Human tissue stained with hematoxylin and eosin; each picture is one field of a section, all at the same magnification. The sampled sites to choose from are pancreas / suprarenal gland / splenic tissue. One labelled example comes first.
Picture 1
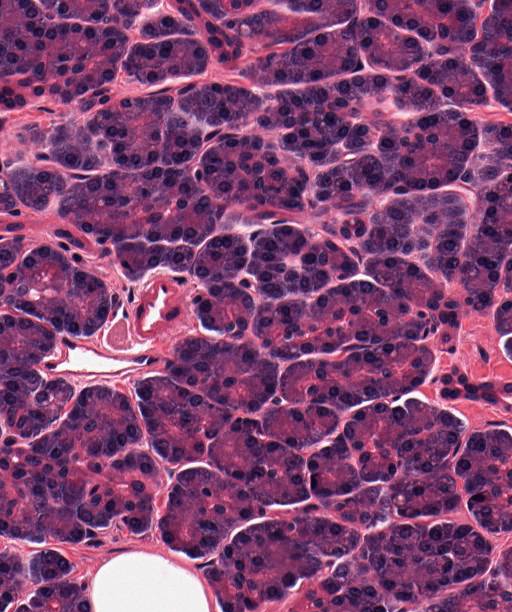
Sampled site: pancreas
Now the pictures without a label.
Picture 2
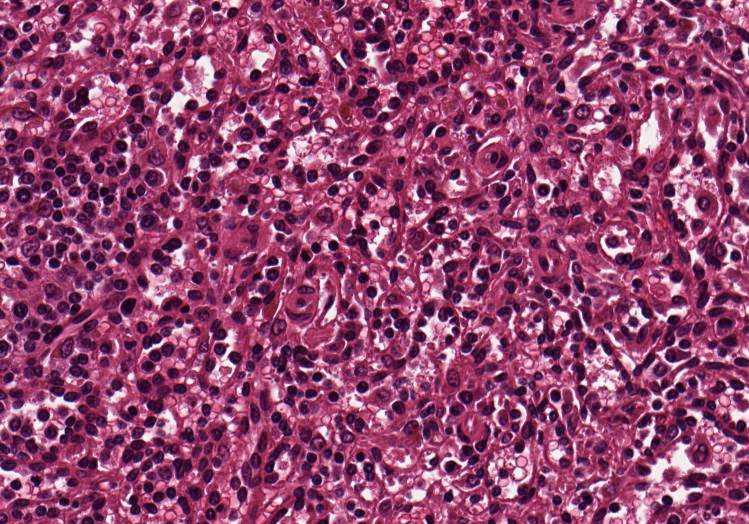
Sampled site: splenic tissue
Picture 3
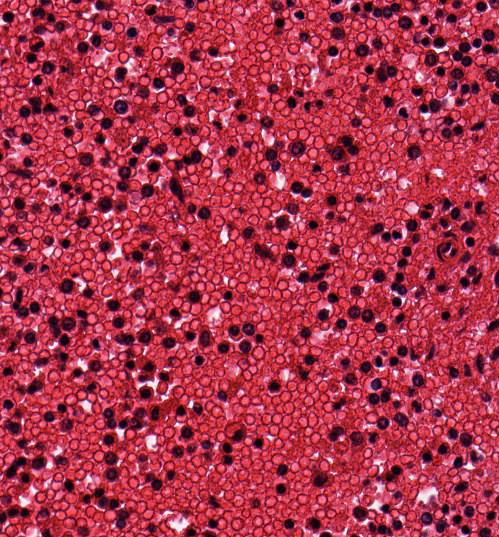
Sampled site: splenic tissue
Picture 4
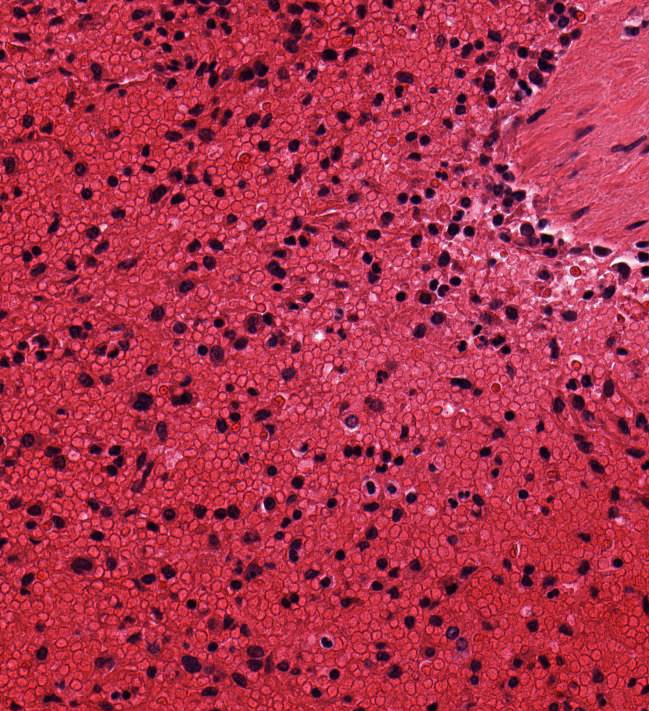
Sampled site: splenic tissue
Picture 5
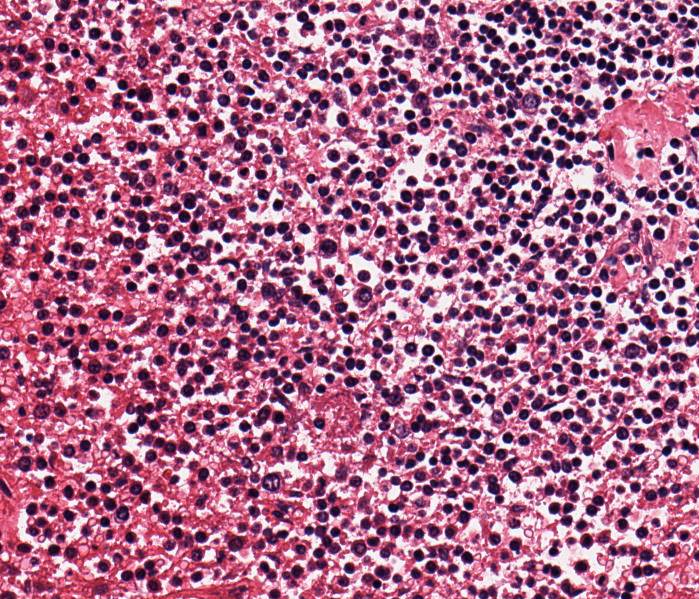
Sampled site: splenic tissue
